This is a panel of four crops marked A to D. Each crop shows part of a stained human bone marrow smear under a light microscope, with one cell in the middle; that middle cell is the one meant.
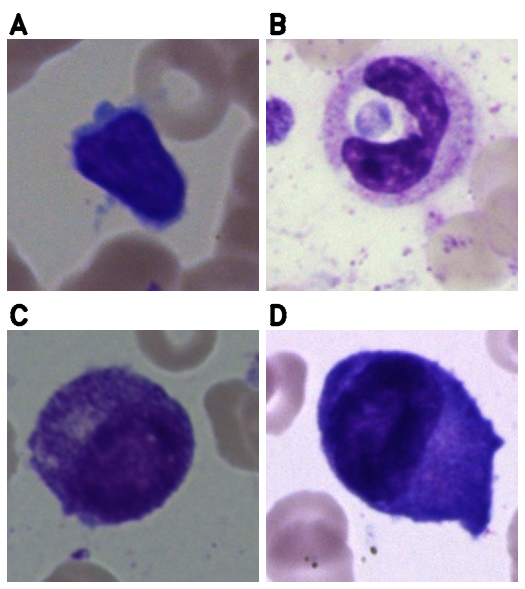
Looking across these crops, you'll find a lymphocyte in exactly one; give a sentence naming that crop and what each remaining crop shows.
Crop A shows a lymphocyte, while in contrast crop B is a band neutrophil, crop C is a myelocyte and crop D is a blast.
